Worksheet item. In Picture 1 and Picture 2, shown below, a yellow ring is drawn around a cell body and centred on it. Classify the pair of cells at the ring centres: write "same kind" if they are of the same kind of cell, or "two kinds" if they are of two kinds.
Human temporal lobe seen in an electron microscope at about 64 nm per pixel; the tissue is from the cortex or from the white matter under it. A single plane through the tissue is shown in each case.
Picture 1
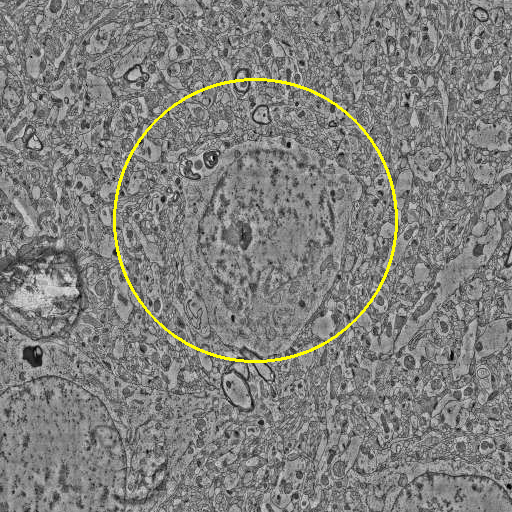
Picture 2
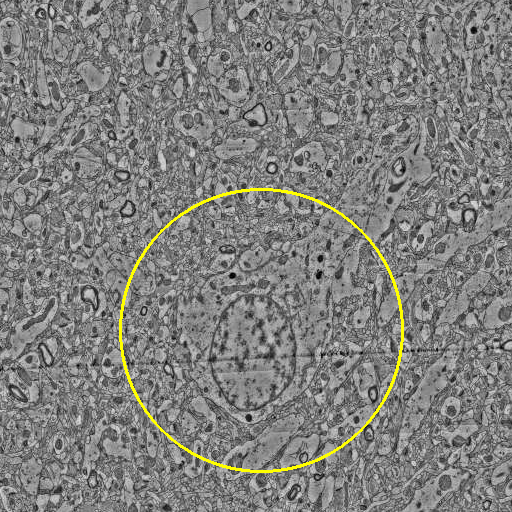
two kinds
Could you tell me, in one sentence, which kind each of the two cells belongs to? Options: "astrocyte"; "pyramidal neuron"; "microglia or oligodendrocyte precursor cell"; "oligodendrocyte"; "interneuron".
At the centre of the first ring sits an interneuron, and at the centre of the second sits a pyramidal neuron.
